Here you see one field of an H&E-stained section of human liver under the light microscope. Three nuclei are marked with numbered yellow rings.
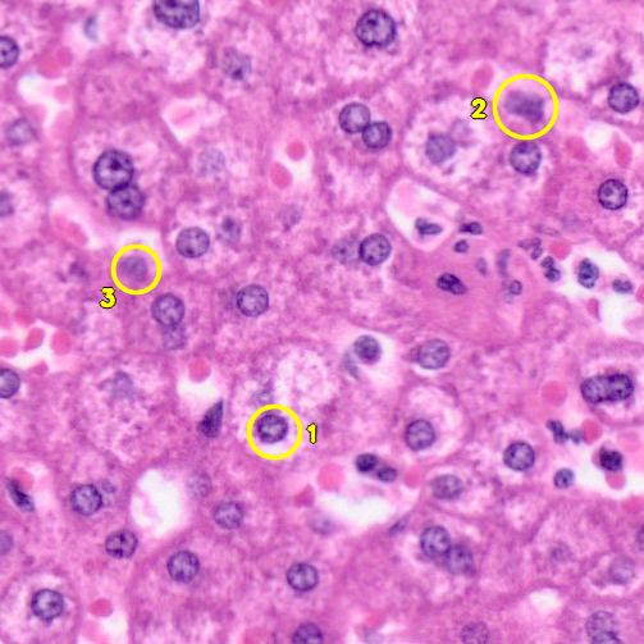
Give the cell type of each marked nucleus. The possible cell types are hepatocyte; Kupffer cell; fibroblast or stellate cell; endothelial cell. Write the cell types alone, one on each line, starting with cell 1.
hepatocyte
endothelial cell
Kupffer cell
